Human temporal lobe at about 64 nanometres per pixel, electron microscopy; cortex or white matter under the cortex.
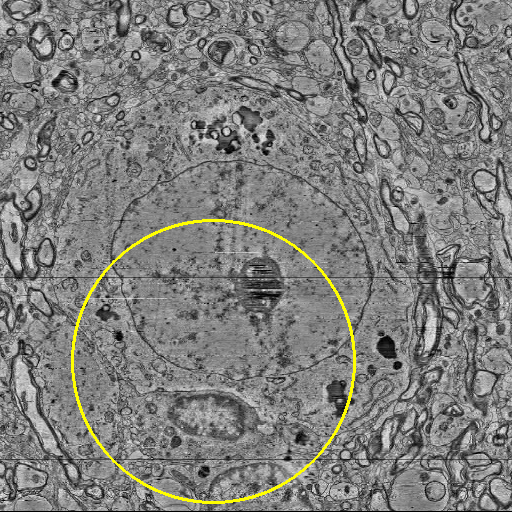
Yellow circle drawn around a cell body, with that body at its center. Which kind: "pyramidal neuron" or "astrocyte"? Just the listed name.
pyramidal neuron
